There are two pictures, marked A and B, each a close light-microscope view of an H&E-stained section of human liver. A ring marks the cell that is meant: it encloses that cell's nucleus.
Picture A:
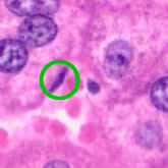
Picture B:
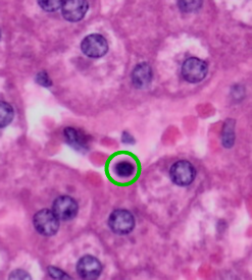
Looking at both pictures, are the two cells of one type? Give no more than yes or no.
no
